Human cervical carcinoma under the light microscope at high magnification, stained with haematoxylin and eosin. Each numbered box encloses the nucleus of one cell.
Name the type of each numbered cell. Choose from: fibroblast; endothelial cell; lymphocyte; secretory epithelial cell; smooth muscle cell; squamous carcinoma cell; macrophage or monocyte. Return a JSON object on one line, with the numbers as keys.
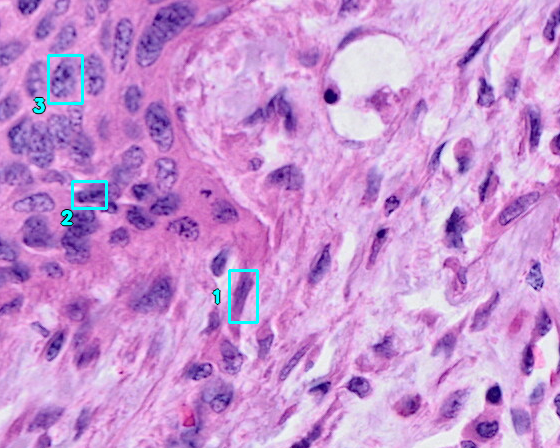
{"1": "fibroblast", "2": "squamous carcinoma cell", "3": "squamous carcinoma cell"}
